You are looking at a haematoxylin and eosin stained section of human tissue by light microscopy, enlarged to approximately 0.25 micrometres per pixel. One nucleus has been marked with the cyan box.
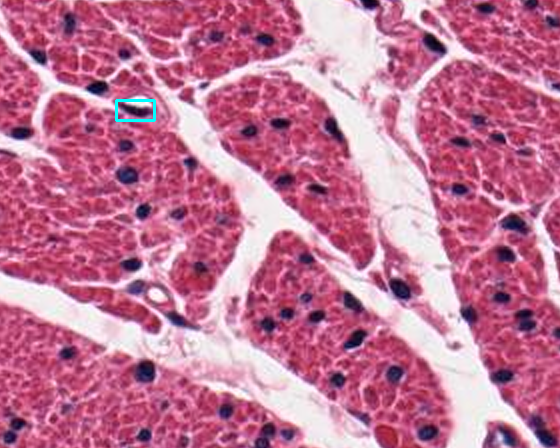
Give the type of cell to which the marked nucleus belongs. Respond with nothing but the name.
endothelial cell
